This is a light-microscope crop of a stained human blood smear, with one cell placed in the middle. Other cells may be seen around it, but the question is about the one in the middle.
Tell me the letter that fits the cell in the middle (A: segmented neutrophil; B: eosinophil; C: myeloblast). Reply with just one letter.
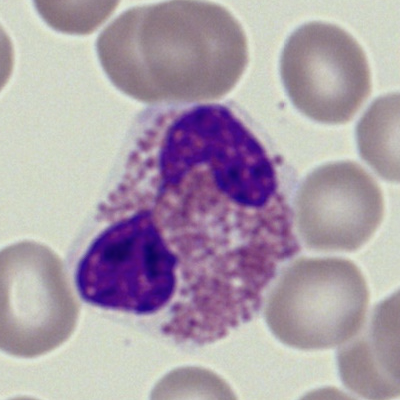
B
